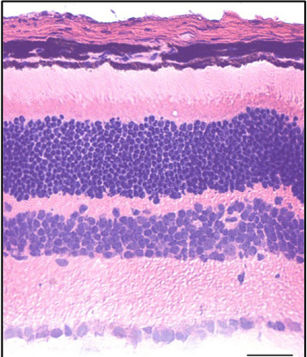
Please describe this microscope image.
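This section shows the full thickness of the retina, with its layers stacked from the dark pigmented epithelium at the top to the ganglion cells at the bottom. Under the pigmented band lies a broad, pale pink zone of photoreceptor outer and inner segments, with a fine vertical striation. Below it is a thick band of small, round, densely packed, darkly stained photoreceptor nuclei, many cells deep. A thin pink plexiform band separates this from a narrower band of inner nuclei, which are somewhat larger and paler. A wide, finely granular pink inner plexiform layer follows, and at the bottom lies a single sparse row of larger ganglion cell nuclei.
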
